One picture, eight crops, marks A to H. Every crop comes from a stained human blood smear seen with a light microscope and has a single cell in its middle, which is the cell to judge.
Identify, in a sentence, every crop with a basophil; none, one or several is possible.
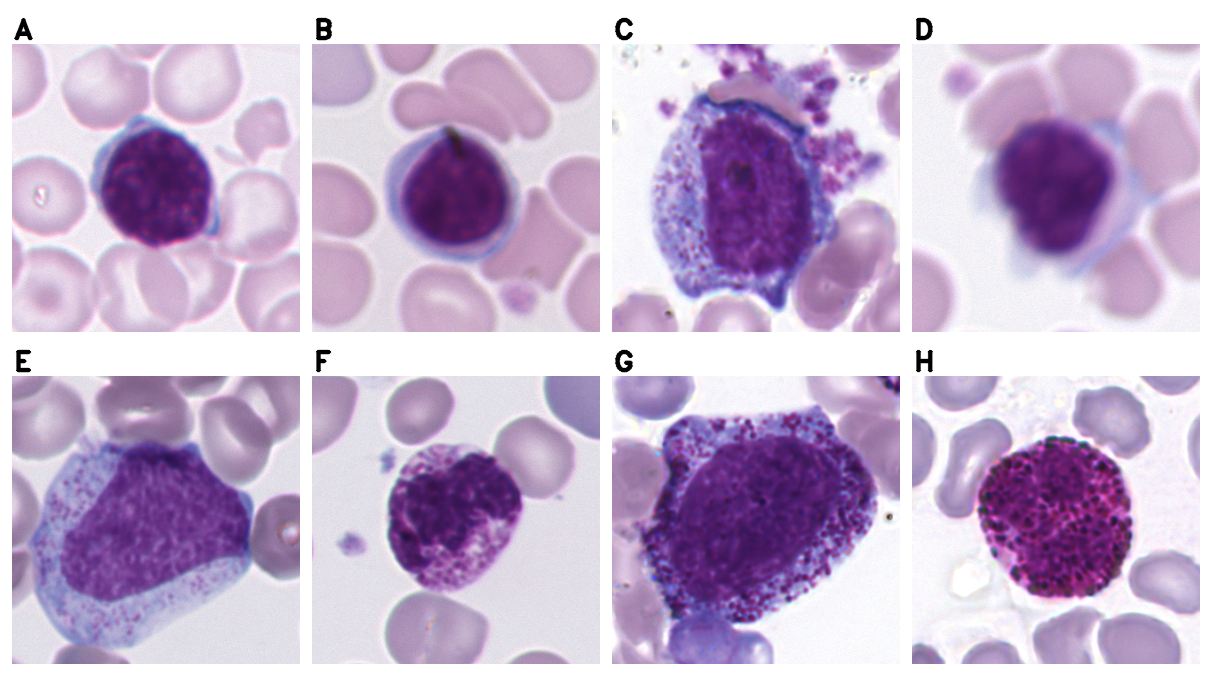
Crops F and H are designated as showing basophils.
